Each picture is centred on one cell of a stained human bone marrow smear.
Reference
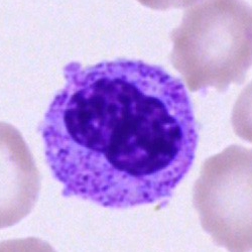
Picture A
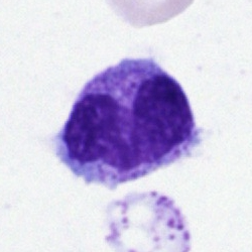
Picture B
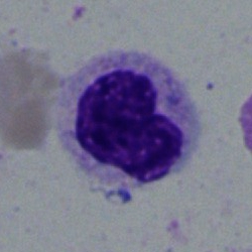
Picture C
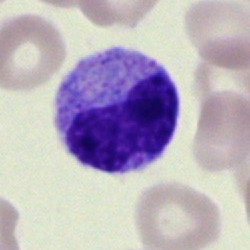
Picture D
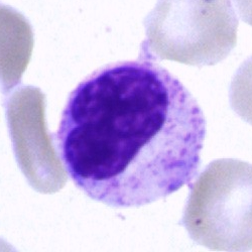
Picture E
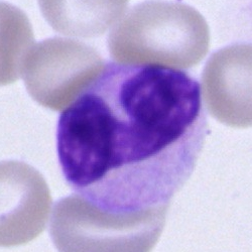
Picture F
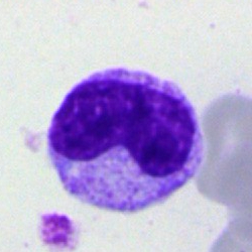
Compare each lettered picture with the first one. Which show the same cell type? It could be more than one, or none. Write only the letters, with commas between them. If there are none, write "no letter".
A, B, C, D, F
